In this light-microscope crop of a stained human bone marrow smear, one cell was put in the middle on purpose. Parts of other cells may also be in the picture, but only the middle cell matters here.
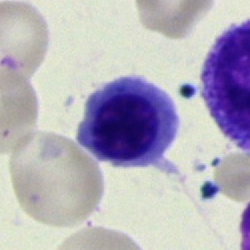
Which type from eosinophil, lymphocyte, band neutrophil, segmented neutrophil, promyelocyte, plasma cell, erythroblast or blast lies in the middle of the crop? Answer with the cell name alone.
erythroblast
